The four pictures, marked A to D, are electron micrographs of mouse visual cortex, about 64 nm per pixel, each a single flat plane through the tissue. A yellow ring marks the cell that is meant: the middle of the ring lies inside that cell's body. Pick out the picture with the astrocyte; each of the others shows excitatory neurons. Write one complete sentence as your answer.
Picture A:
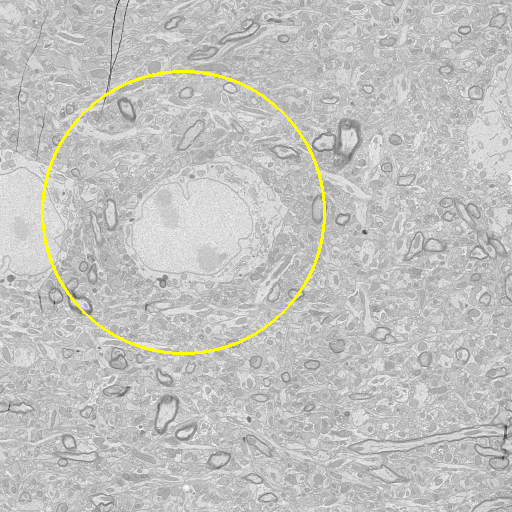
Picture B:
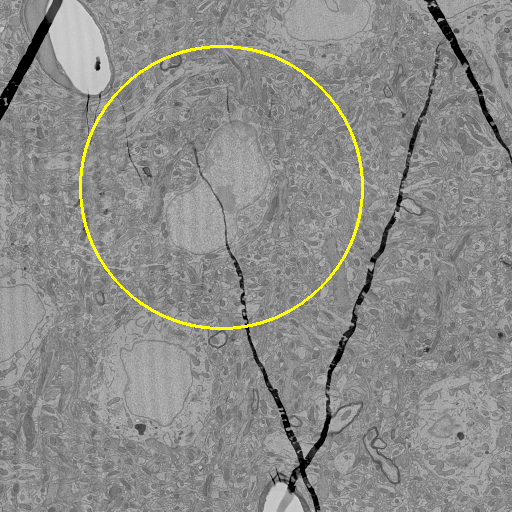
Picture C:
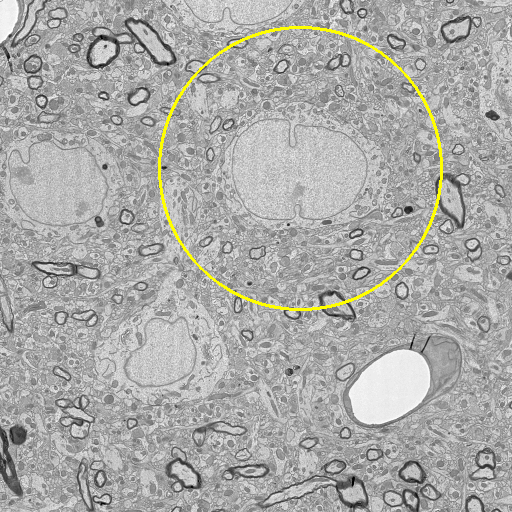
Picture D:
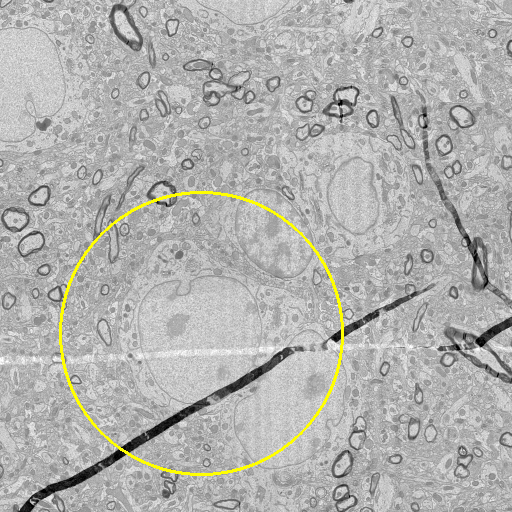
The cell in picture B is the astrocyte.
